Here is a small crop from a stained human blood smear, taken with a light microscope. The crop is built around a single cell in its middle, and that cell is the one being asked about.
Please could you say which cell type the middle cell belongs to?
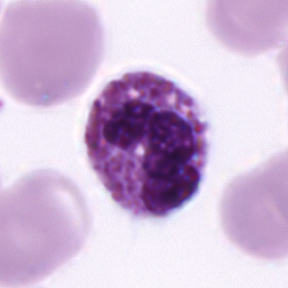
eosinophil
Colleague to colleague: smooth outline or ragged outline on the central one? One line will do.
The cell shows a smooth outline that lacks any surface projections.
